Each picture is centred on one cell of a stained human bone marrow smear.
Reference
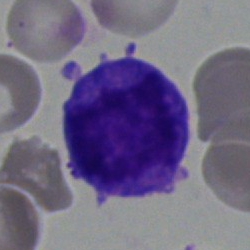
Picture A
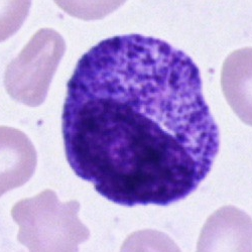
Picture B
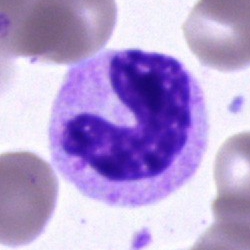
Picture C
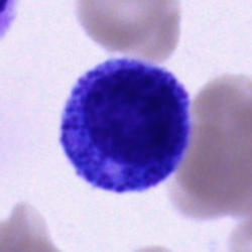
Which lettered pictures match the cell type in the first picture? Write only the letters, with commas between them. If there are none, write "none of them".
A, C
